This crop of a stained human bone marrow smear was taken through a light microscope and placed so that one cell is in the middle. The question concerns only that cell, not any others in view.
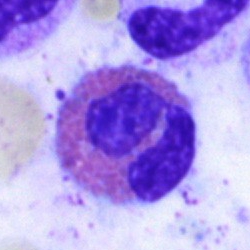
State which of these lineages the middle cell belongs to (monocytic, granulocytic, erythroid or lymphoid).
granulocytic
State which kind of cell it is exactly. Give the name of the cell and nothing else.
eosinophil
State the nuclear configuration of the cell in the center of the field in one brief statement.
Nuclear material here is separated into two or more segments.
